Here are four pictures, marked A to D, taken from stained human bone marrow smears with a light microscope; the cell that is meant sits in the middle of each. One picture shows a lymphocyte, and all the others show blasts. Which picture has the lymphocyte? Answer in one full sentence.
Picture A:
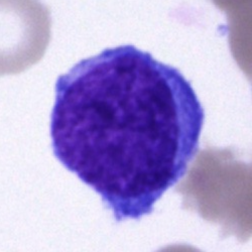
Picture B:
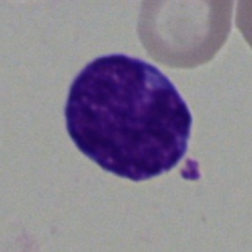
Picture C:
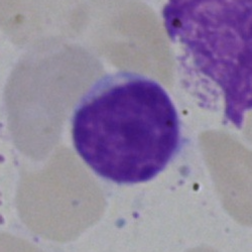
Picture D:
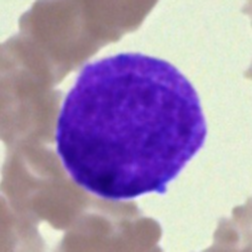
The cell in picture C is the lymphocyte.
